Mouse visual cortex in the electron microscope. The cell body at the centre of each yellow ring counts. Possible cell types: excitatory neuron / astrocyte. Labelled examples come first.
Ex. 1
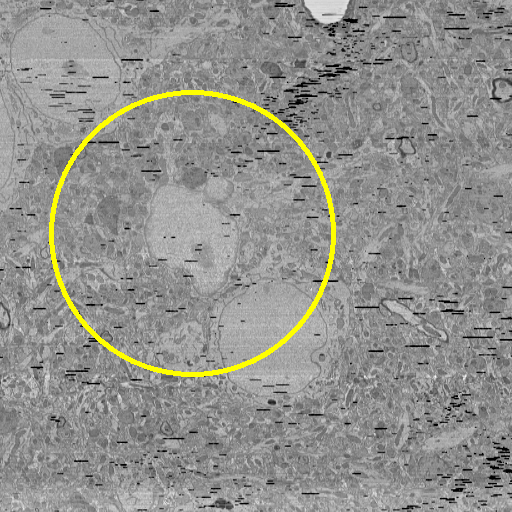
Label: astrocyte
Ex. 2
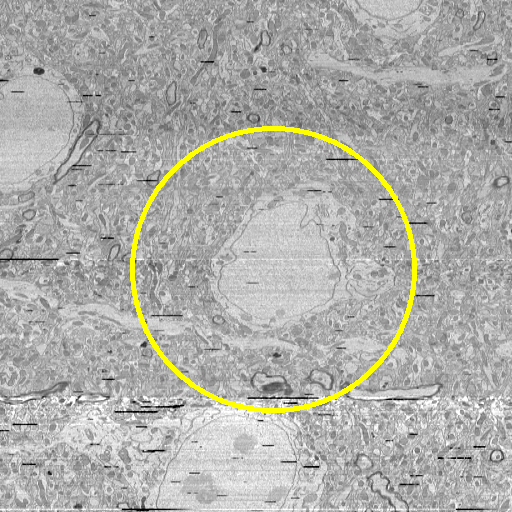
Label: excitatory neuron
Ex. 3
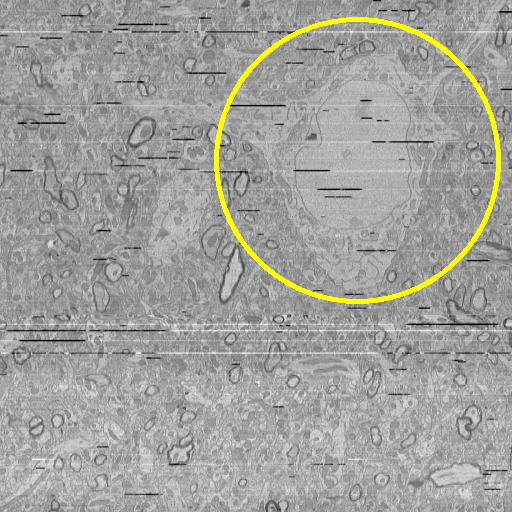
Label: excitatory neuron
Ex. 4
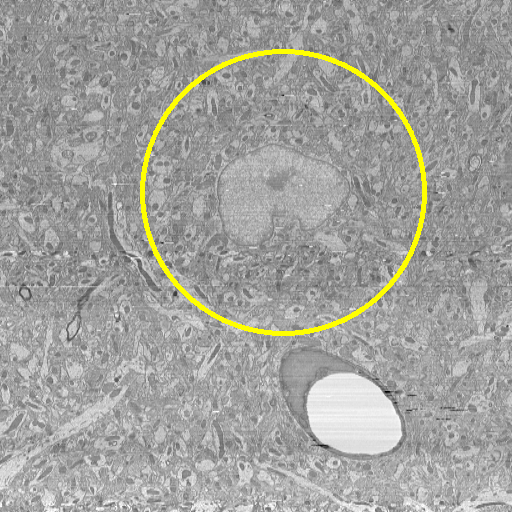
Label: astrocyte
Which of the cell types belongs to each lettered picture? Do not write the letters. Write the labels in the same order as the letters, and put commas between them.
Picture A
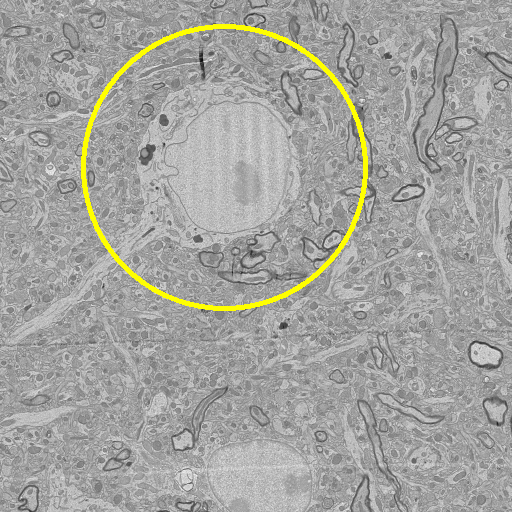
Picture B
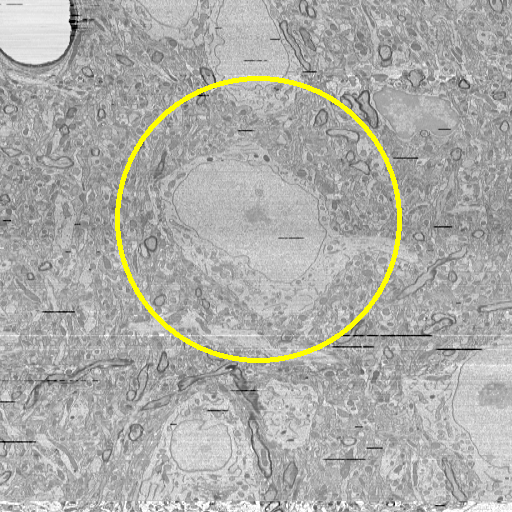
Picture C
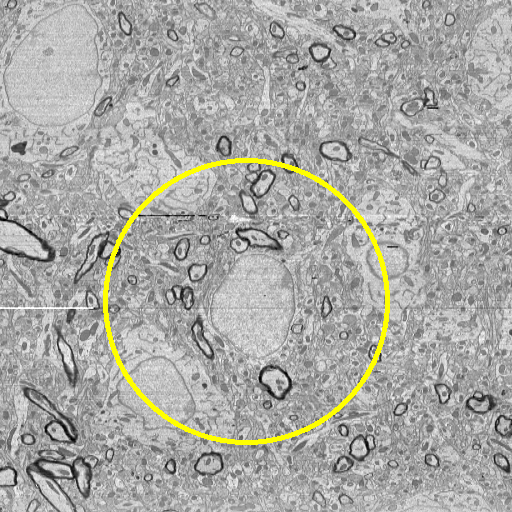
excitatory neuron, excitatory neuron, astrocyte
